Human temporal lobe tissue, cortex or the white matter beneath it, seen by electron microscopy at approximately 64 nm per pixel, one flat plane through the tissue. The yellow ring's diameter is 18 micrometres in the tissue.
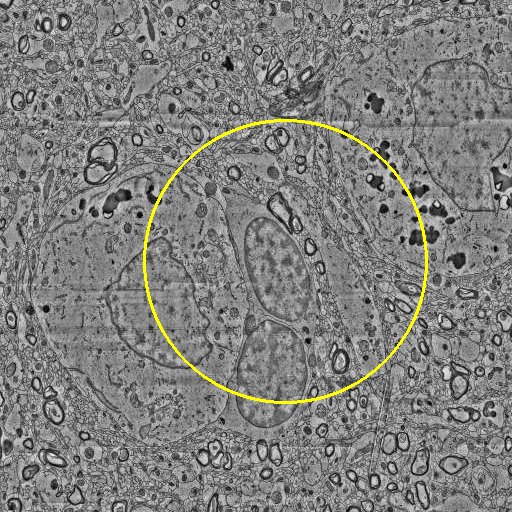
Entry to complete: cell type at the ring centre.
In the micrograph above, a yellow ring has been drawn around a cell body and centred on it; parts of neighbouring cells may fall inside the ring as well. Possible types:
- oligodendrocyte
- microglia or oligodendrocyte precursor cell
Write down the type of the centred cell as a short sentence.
The ring is centred on an oligodendrocyte.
